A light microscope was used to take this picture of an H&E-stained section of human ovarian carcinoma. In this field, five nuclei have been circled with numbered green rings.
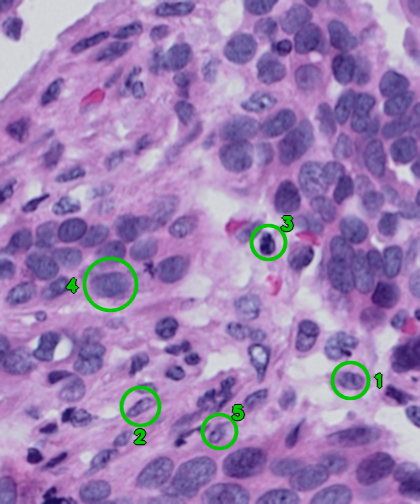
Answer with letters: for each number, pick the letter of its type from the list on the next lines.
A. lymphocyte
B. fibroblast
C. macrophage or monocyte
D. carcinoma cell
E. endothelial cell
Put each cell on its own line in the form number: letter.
1: C
2: B
3: A
4: D
5: B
